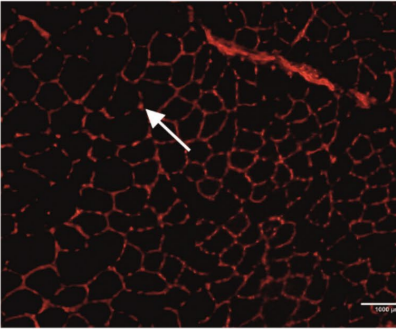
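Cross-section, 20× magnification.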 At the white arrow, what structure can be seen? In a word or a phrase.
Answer: Capillaries.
